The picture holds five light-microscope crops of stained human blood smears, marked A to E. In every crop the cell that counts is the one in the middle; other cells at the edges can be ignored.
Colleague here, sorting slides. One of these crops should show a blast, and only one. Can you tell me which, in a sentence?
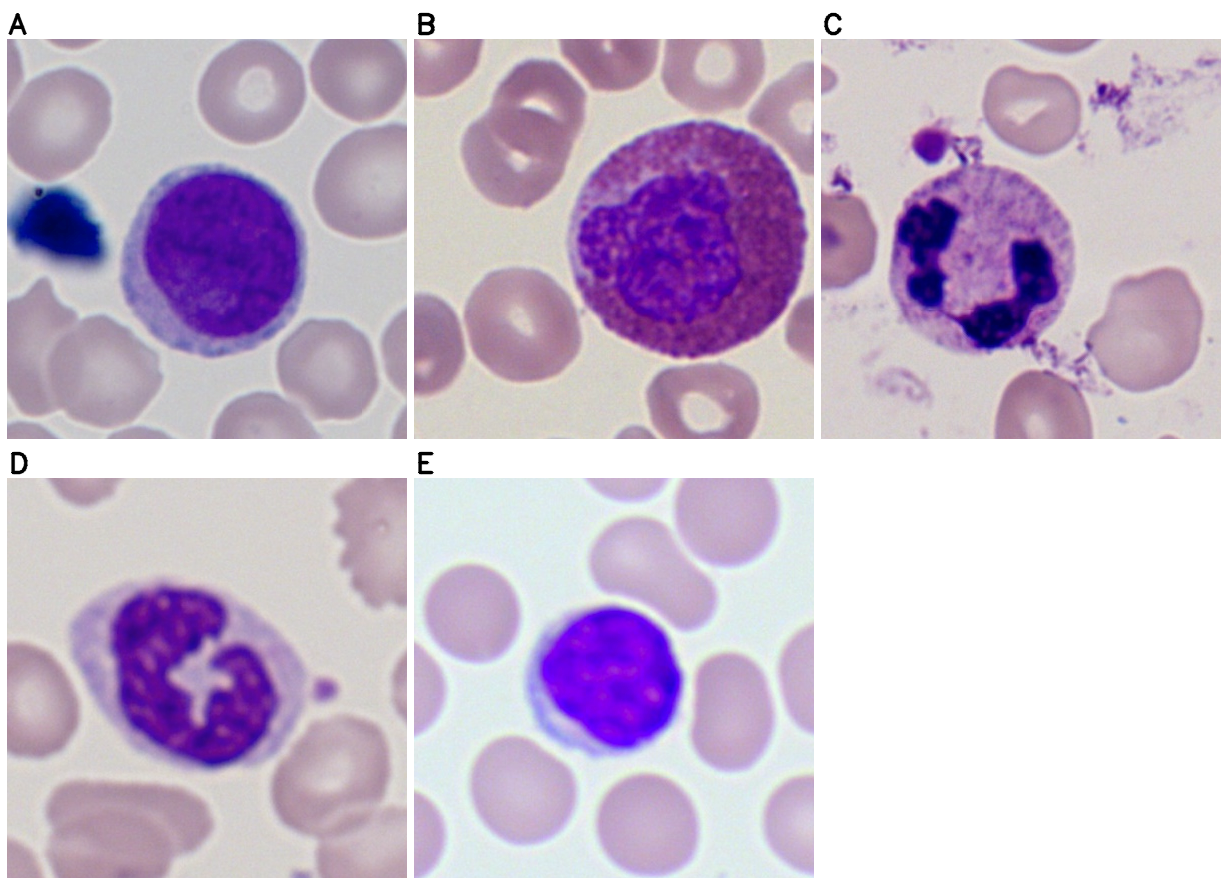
Of the labeled crops, the one with a blast is crop A.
